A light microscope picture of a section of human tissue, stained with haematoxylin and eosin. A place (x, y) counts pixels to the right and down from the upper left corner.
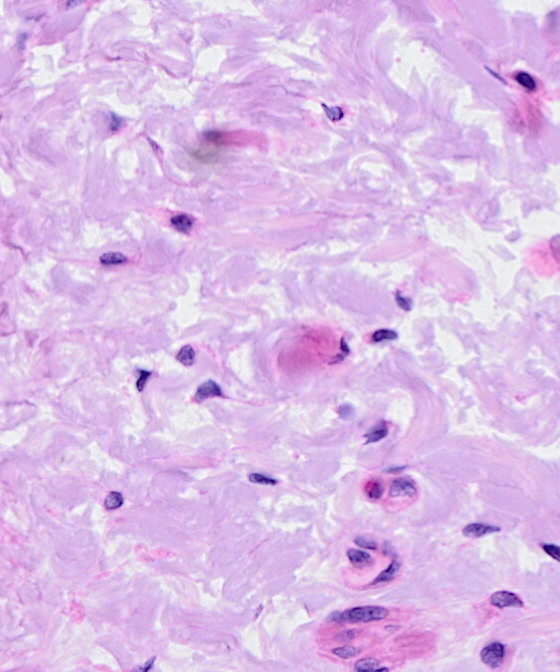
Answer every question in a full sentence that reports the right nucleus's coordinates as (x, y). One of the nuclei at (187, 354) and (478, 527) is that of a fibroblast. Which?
Only the nucleus at (478, 527), of the two, belongs to a fibroblast.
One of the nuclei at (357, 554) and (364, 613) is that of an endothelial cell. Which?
The nucleus at (357, 554), rather than the other one, belongs to an endothelial cell.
